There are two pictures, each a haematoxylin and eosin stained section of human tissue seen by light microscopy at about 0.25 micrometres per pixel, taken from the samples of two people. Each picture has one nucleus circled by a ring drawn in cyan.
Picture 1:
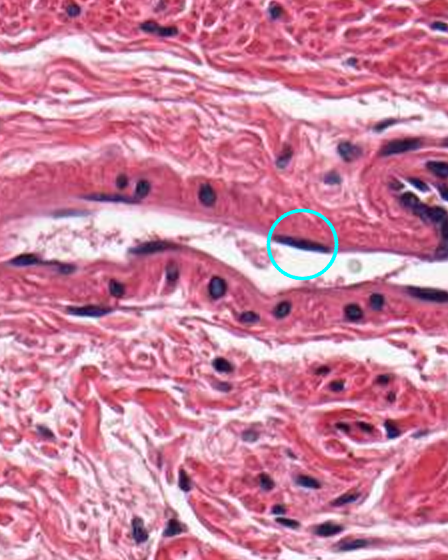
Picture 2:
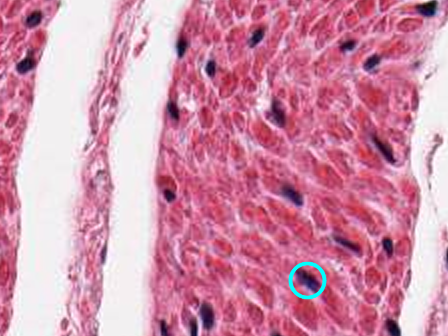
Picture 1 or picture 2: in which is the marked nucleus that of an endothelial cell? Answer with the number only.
1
